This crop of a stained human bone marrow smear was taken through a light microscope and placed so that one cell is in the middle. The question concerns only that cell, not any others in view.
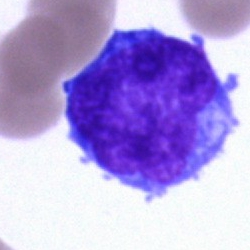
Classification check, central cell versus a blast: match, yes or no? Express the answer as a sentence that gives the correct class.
Yes, the cell occupying the middle of the crop is a blast.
